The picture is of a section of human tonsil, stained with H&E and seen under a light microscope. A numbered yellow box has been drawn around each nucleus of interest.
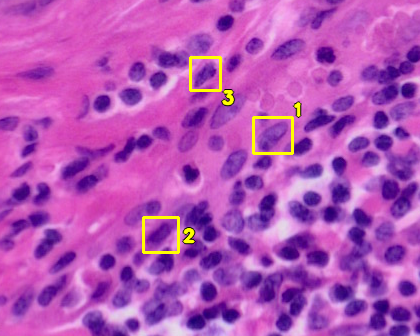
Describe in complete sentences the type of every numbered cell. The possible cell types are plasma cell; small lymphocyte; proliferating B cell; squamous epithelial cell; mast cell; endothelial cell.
Cells 1 and 2 are endothelial cells. Cell 3 is a mast cell.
